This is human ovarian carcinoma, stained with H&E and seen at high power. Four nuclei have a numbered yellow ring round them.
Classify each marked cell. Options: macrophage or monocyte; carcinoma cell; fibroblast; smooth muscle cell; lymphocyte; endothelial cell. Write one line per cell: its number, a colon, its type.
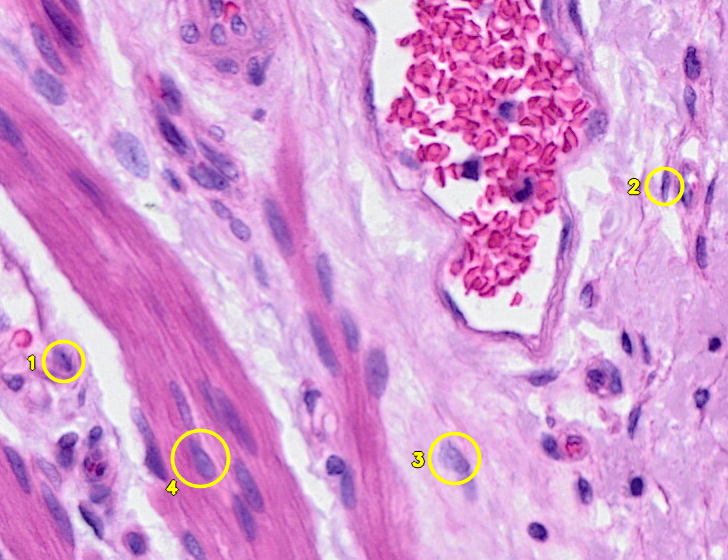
1: endothelial cell
2: fibroblast
3: fibroblast
4: smooth muscle cell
